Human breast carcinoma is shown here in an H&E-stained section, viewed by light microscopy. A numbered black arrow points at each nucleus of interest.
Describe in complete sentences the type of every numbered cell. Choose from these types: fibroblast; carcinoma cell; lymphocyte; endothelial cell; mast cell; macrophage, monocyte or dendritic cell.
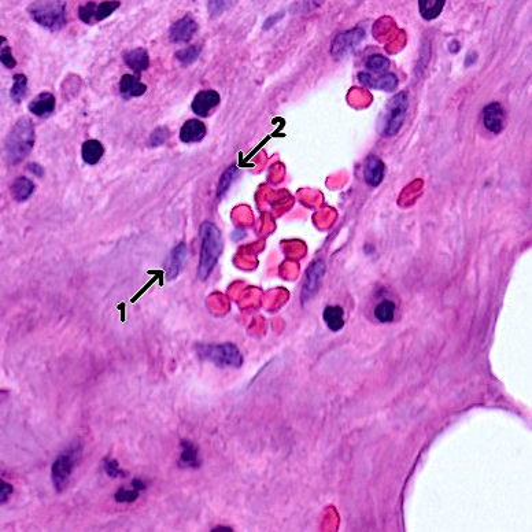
Cell 1 is a fibroblast. Cell 2 is an endothelial cell.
